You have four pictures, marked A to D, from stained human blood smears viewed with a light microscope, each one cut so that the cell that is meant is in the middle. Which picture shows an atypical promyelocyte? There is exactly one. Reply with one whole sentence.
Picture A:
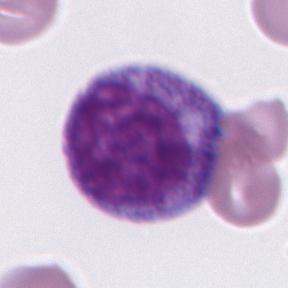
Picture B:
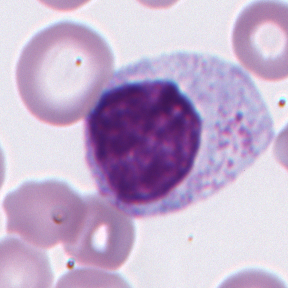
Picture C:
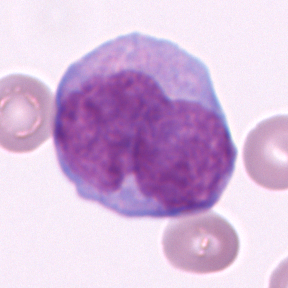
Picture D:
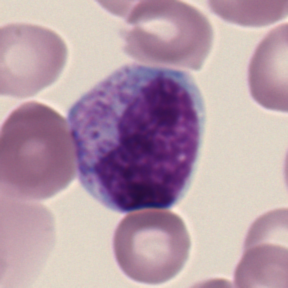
The cell in picture C is the atypical promyelocyte.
